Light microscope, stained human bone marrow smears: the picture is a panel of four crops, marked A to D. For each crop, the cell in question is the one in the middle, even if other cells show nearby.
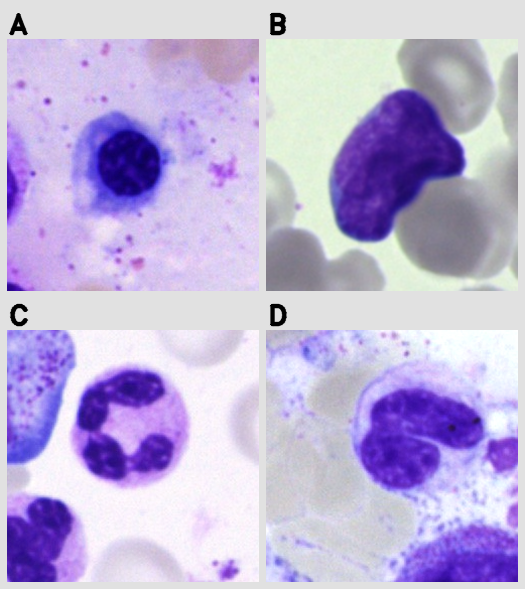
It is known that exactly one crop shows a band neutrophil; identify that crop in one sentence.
Crop D is identified as the crop showing a band neutrophil.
